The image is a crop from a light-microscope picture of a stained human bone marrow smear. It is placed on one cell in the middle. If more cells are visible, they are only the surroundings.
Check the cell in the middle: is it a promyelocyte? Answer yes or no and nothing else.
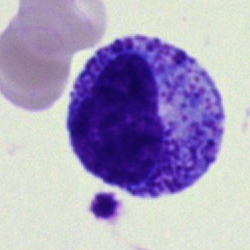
yes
